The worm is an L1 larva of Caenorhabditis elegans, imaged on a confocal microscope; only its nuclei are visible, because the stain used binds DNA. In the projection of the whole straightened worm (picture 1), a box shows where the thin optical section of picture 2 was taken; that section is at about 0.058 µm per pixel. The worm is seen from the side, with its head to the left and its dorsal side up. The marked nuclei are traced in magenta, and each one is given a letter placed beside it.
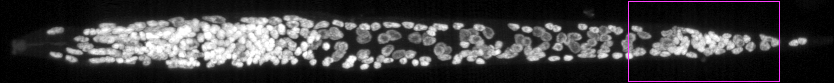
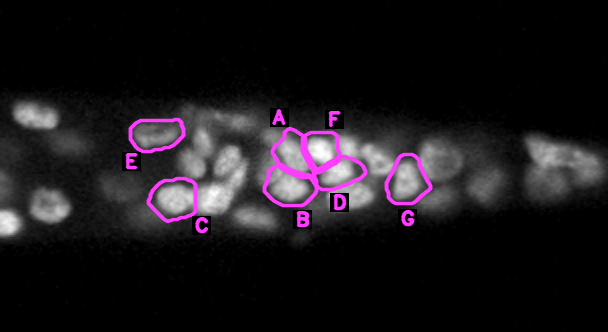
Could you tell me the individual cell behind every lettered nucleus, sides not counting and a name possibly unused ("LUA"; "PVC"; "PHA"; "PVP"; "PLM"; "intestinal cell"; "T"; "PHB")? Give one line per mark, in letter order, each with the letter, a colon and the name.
A: PHB
B: PHA
C: PVP
D: PVC
E: intestinal cell
F: LUA
G: PLM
